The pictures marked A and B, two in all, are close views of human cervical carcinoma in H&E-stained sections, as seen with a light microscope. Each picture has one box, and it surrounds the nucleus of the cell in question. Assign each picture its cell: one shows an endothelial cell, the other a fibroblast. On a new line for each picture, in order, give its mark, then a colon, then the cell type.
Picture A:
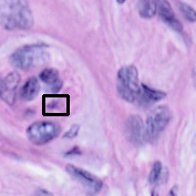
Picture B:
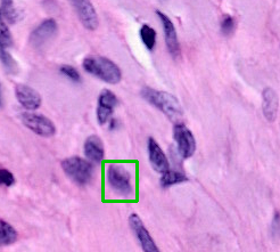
A: endothelial cell
B: fibroblast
